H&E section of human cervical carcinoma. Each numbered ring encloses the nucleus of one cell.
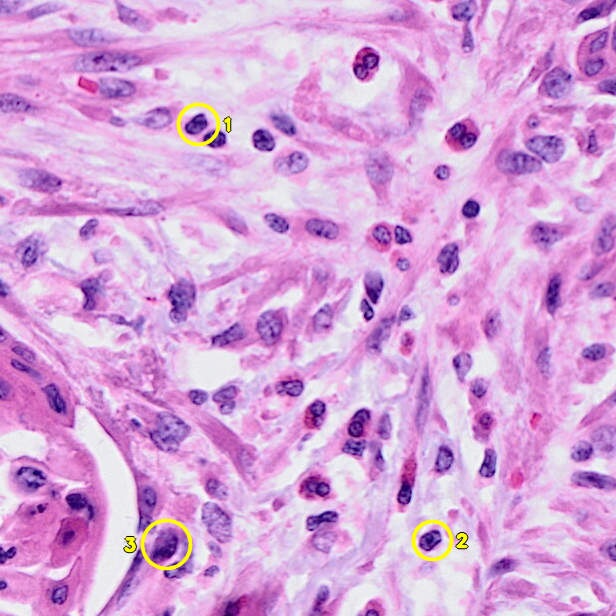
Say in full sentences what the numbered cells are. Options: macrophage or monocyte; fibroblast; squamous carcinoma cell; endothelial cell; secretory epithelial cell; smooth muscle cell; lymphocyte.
Cells 1 and 2 are lymphocytes. Cell 3 is a macrophage or monocyte.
